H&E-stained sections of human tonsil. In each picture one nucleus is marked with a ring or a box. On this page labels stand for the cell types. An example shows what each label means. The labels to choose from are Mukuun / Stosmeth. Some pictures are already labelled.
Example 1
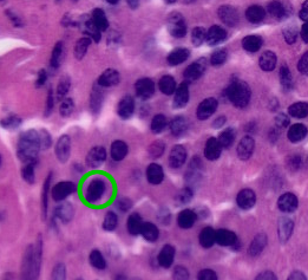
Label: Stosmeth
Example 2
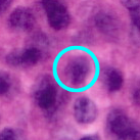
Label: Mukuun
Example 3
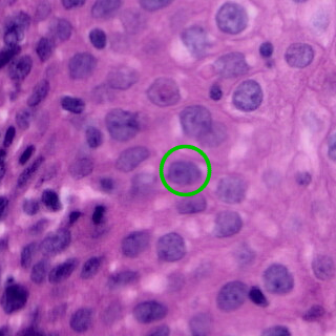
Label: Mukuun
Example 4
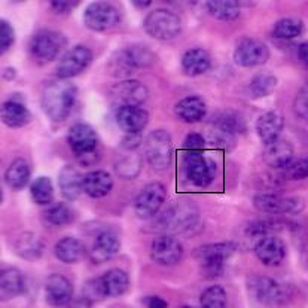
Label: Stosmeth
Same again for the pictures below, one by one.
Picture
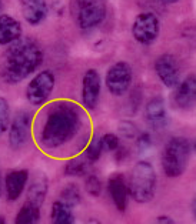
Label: Mukuun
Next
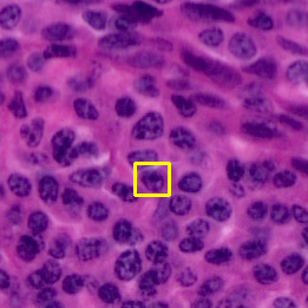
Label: Stosmeth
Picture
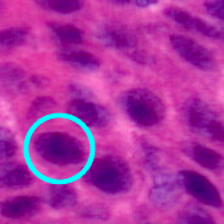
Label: Mukuun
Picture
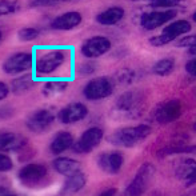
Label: Stosmeth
